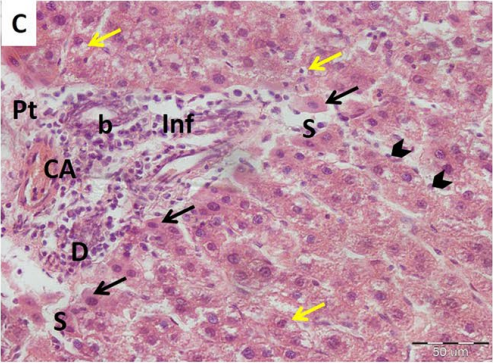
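High-power view of liver with a portal tract at the left and degenerating hepatocytes around it. The portal tract is expanded by a dense crowd of small round dark-purple nuclei of mononuclear inflammatory cells, among which lie ducts and a small vessel with a pink wall and red contents. To the right, hepatocytes form disorganised cords; many have deep pink cytoplasm lacking granular texture and dark nuclei, while others have pale, thinned cytoplasm and dense, irregular nuclei. The sinusoids between cords are widened, and small elongated dark nuclei of lining cells sit along them.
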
